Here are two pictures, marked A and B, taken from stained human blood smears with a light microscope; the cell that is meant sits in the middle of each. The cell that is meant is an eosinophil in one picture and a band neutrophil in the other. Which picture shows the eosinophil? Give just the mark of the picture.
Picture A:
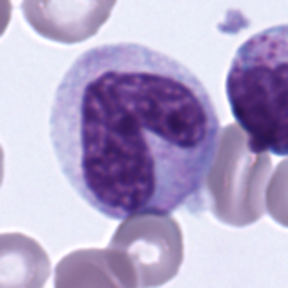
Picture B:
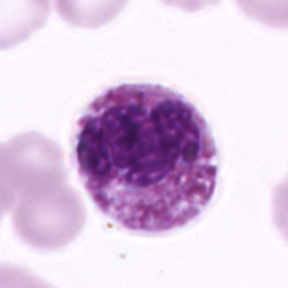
B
